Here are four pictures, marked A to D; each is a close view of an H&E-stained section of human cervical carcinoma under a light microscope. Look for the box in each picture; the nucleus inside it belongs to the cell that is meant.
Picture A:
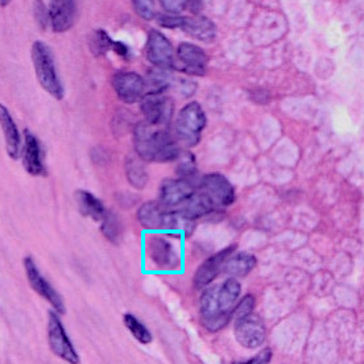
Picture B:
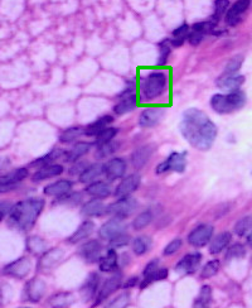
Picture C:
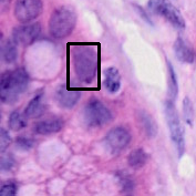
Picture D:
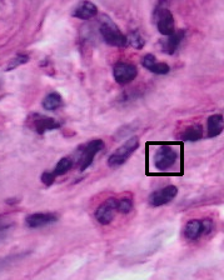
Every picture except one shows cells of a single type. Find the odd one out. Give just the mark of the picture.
D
